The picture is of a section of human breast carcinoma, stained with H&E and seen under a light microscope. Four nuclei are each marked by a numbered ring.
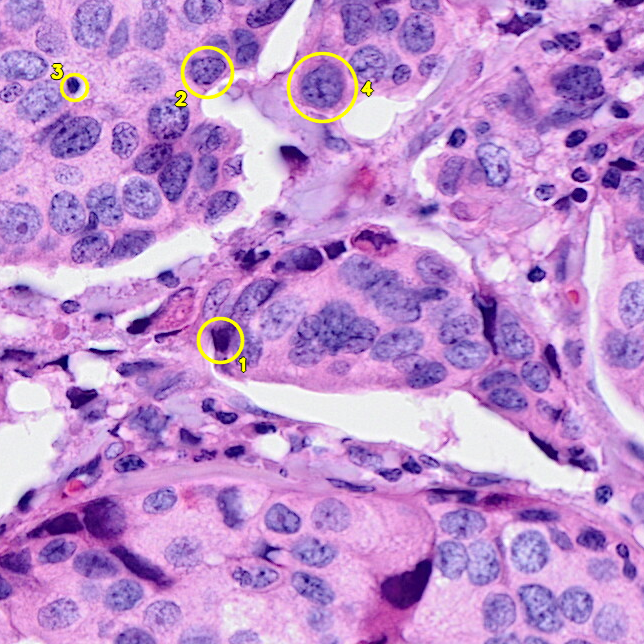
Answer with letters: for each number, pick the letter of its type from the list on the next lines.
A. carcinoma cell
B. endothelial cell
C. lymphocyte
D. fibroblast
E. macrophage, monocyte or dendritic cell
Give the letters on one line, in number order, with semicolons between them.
A; A; C; A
